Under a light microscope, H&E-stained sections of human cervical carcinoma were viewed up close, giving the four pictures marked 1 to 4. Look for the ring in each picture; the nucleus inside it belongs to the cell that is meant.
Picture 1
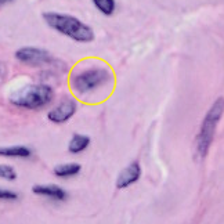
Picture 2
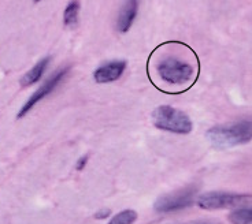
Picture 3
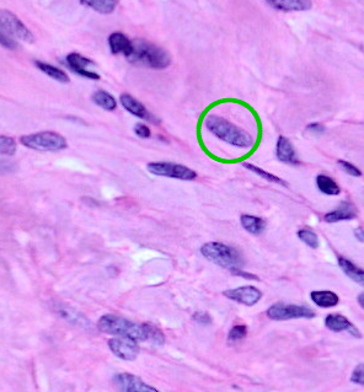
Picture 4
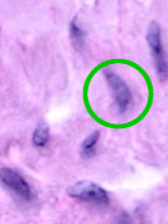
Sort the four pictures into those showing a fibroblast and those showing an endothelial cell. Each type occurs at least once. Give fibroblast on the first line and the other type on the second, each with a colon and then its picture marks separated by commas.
fibroblast: 2, 3, 4
endothelial cell: 1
